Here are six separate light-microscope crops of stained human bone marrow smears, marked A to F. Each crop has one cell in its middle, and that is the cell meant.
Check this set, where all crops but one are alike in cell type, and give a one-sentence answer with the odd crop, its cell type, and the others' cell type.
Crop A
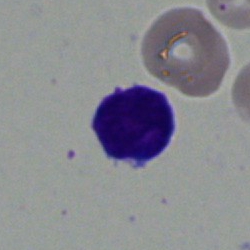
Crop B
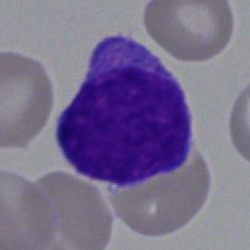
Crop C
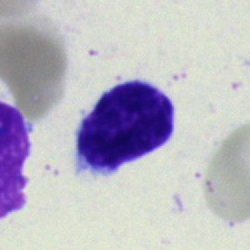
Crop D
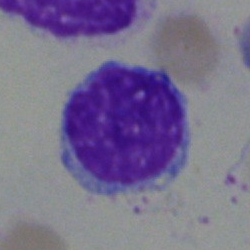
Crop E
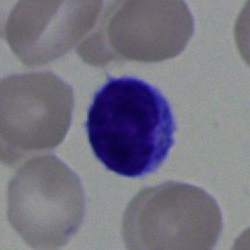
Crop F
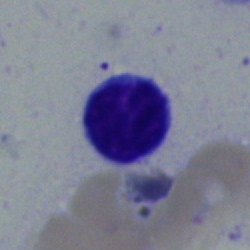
The set is made up of lymphocytes, with the single exception of crop B, which is a blast.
